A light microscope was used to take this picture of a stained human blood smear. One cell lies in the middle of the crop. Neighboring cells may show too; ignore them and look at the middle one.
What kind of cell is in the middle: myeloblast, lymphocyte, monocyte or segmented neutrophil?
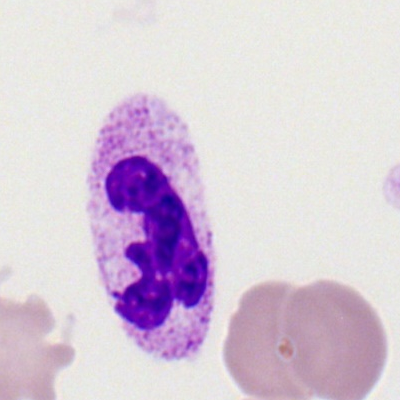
segmented neutrophil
